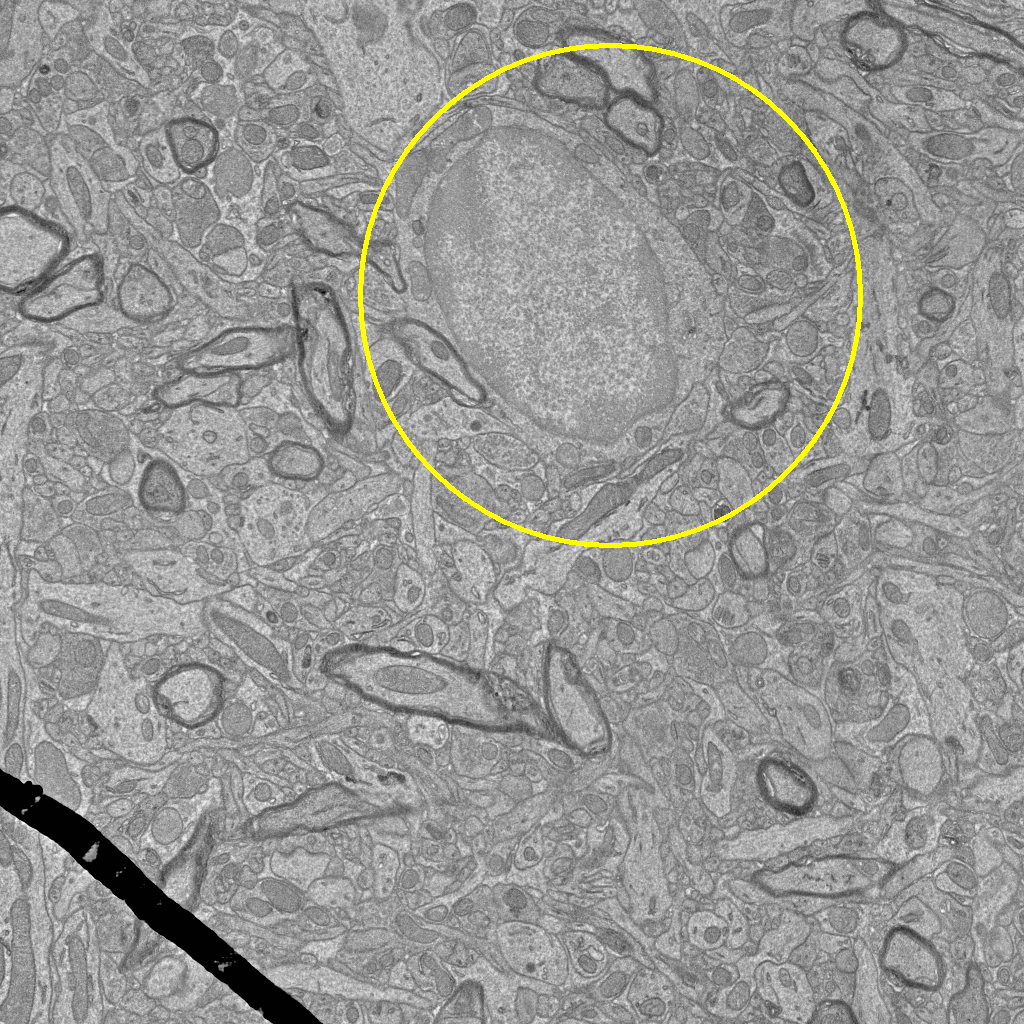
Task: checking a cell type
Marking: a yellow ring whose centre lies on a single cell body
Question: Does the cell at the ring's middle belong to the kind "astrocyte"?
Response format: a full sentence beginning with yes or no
No, the cell marked at the ring's centre in the picture is of a different kind.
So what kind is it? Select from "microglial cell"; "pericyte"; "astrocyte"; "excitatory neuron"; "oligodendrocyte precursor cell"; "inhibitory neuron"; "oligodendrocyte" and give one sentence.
This picture has an oligodendrocyte at the centre of its ring.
